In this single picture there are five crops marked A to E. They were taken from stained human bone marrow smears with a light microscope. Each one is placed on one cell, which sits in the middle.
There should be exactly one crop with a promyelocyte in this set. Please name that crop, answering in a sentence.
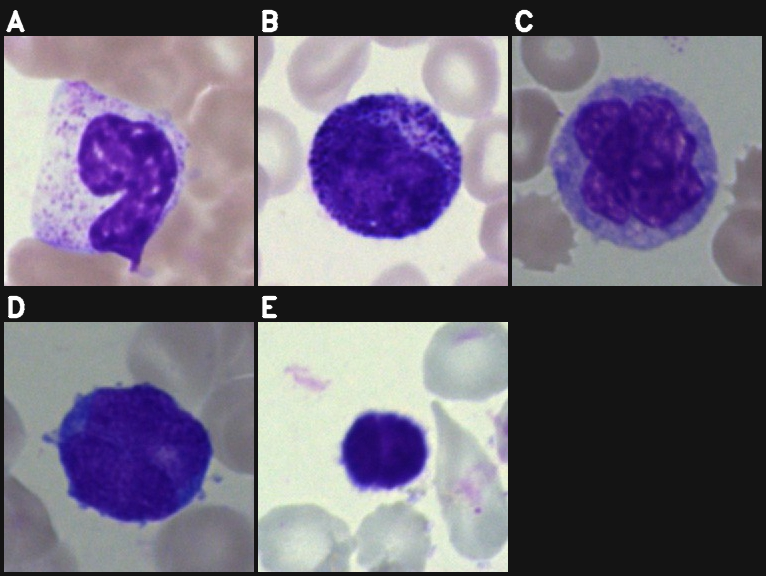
Crop B is the single crop that shows a promyelocyte.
